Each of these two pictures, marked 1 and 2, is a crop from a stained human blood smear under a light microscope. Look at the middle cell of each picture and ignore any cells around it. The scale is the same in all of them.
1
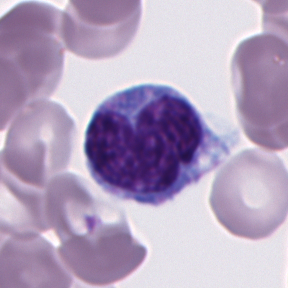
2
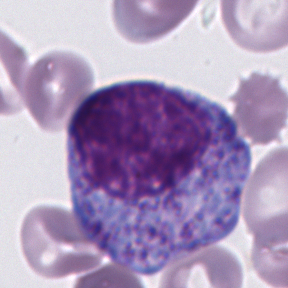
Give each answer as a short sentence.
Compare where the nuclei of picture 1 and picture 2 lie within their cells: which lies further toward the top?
In picture 2 the nucleus is shifted more toward the top.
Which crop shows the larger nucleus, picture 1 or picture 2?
It is the nucleus in picture 2, about 1.5 times as large in area as the one in picture 1.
